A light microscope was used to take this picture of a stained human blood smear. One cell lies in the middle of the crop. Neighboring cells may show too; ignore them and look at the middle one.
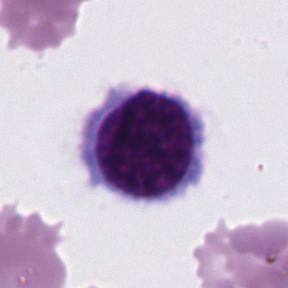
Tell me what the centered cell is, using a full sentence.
At the crop's centre, the cell is a hairy cell.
